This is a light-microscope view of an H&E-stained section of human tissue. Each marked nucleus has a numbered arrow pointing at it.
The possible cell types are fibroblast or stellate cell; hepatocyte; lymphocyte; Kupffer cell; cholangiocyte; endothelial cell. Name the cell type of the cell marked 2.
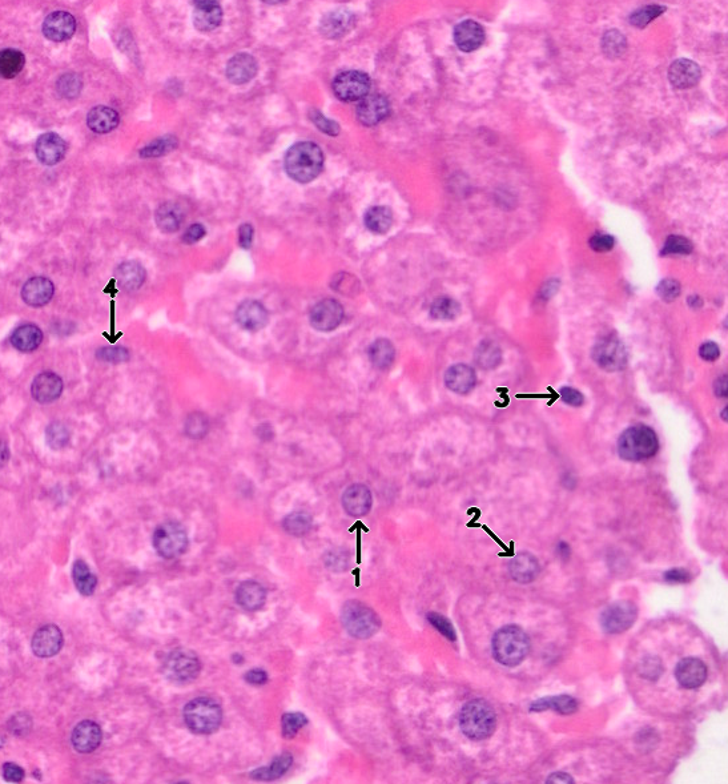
hepatocyte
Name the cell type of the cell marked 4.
fibroblast or stellate cell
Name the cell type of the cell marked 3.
lymphocyte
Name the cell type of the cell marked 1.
hepatocyte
